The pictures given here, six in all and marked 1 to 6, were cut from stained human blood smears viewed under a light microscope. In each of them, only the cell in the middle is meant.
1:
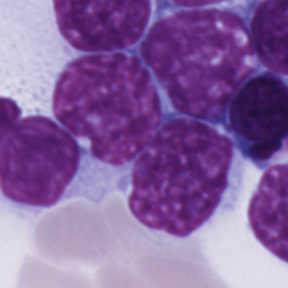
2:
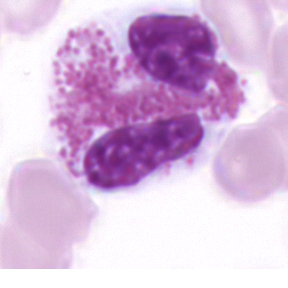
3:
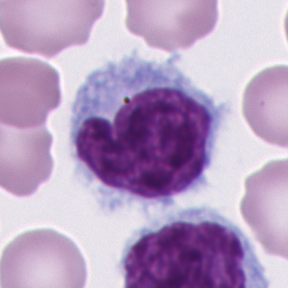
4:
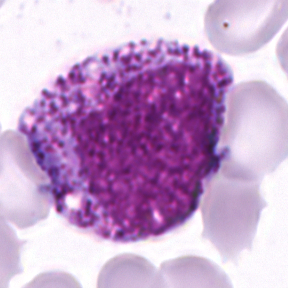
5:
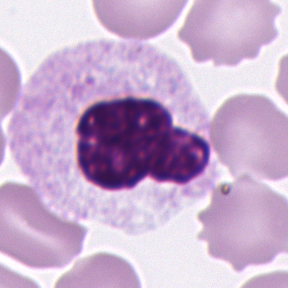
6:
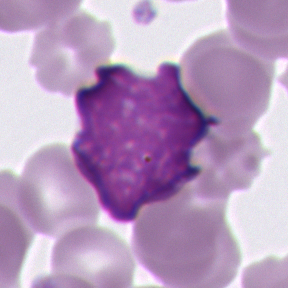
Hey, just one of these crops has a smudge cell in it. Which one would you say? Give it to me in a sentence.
The cell at the center of crop 6 is the one that is a smudge cell.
